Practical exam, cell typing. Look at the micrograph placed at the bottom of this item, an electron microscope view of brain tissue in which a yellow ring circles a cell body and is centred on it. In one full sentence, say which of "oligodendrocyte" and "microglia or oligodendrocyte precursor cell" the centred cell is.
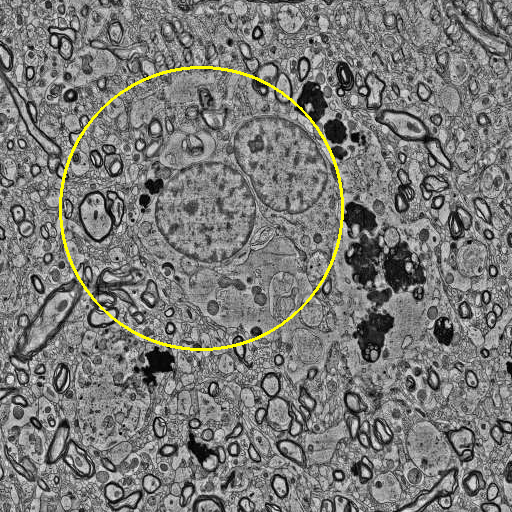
Given the options, an oligodendrocyte fits the cell whose body the yellow ring is centred on.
